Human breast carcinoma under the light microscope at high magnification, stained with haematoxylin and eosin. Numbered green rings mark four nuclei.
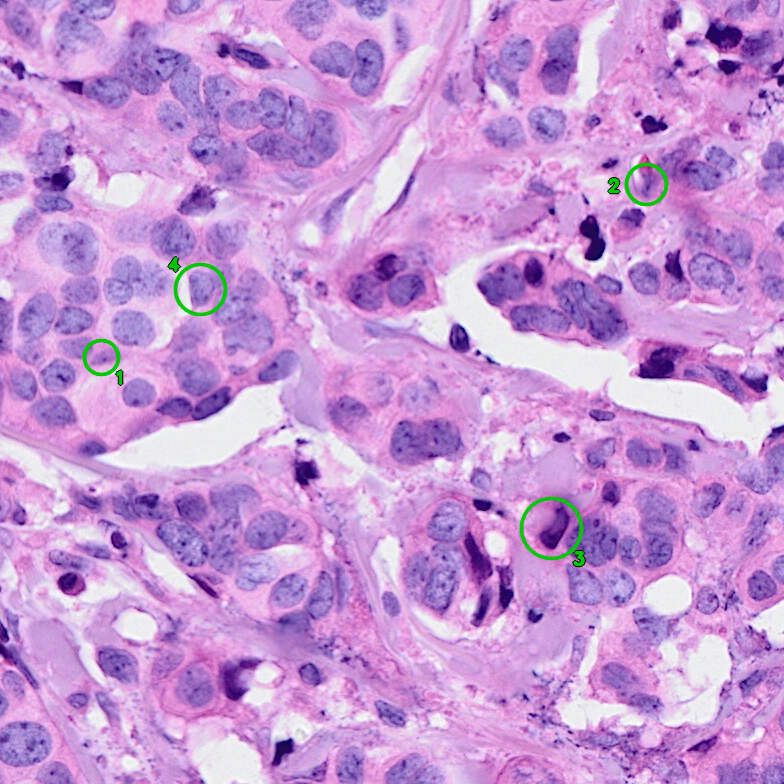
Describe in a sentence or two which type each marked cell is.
Cell 1 is a carcinoma cell, cell 2 is an endothelial cell, cell 3 is a carcinoma cell and cell 4 is a carcinoma cell.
